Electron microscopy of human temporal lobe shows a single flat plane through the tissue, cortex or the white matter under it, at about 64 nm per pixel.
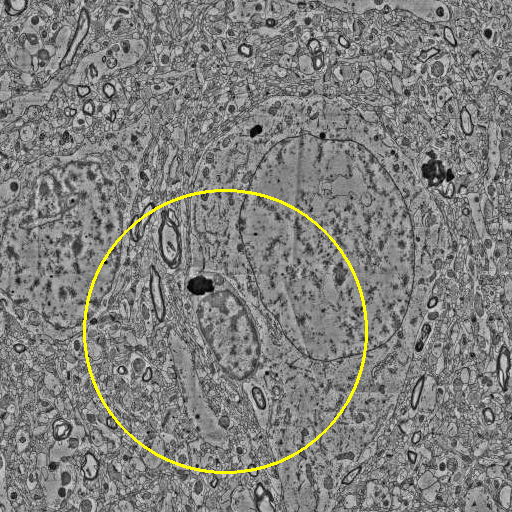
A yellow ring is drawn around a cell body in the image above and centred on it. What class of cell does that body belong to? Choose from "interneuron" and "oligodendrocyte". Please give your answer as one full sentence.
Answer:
The yellow ring above is centred on the cell body of an oligodendrocyte.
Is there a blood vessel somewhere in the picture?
No, no blood vessel shows in the picture.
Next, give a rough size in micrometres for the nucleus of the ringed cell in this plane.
In this plane the nucleus spans approximately 6 by 3 micrometers.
